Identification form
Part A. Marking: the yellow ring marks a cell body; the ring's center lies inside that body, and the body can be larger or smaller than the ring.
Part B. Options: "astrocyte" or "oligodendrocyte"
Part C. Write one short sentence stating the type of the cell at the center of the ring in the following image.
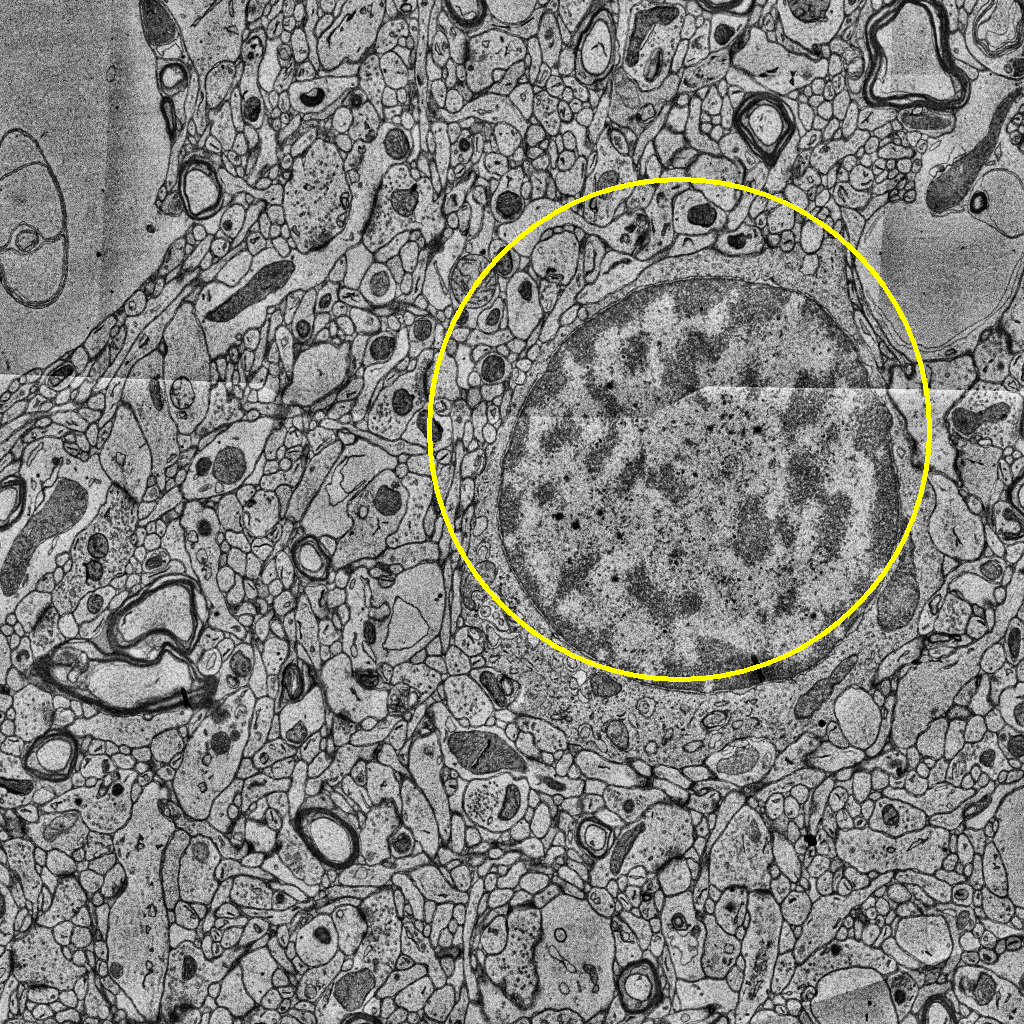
The center of the ring holds an oligodendrocyte.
